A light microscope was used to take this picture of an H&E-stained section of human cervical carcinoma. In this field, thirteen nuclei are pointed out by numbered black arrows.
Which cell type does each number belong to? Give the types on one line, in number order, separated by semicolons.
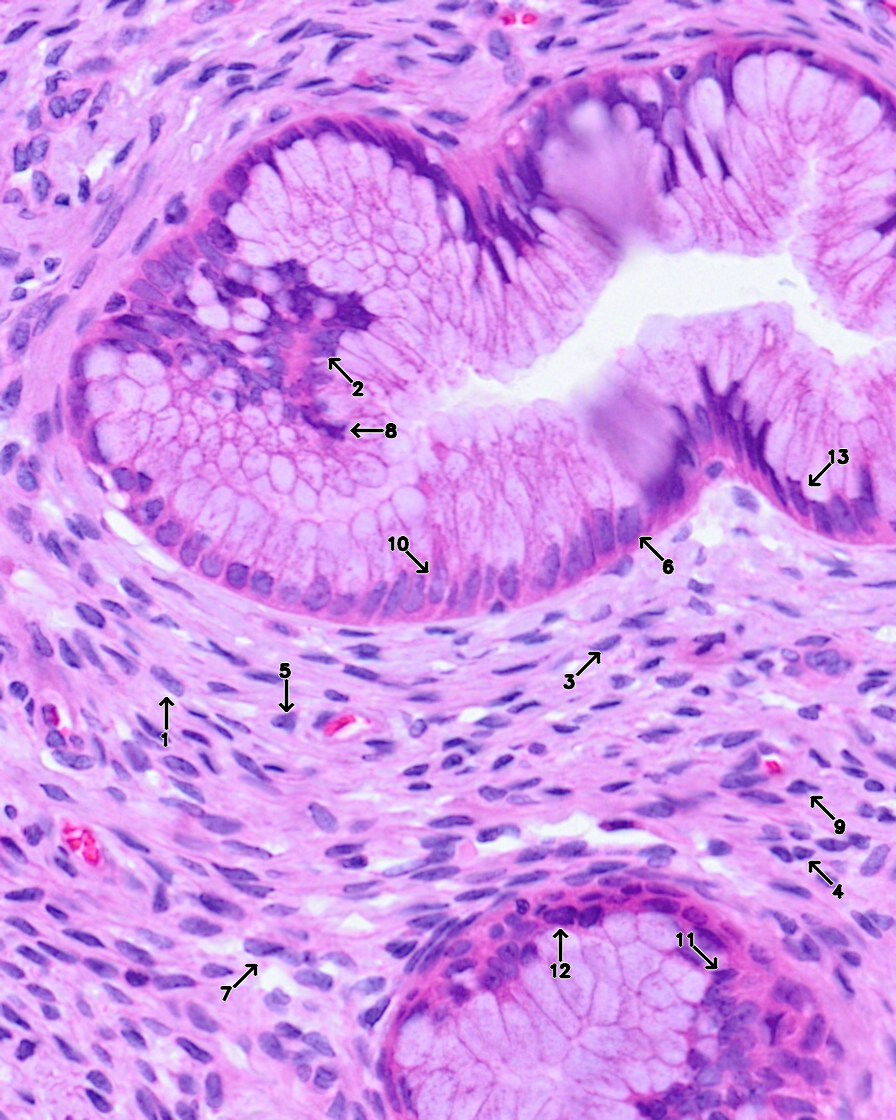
fibroblast; secretory epithelial cell; fibroblast; fibroblast; fibroblast; secretory epithelial cell; fibroblast; secretory epithelial cell; fibroblast; secretory epithelial cell; secretory epithelial cell; secretory epithelial cell; secretory epithelial cell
